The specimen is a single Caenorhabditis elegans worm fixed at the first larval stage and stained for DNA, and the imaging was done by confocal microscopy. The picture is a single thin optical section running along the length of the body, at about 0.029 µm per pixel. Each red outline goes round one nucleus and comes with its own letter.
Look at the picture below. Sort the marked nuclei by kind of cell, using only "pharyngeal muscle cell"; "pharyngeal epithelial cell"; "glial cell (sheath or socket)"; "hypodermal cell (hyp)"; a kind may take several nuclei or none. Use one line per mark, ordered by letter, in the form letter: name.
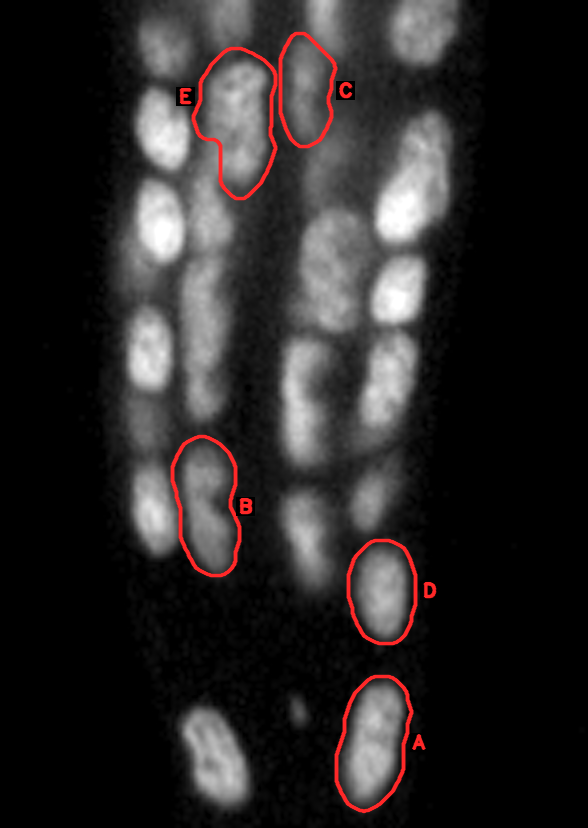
A: hypodermal cell (hyp)
B: pharyngeal epithelial cell
C: pharyngeal muscle cell
D: hypodermal cell (hyp)
E: pharyngeal muscle cell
